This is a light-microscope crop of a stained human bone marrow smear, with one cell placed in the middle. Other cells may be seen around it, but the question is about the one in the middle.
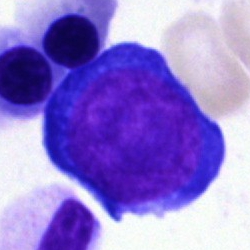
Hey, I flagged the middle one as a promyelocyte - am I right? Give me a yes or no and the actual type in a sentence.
No, the centred cell is a proerythroblast, and it is not a promyelocyte.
